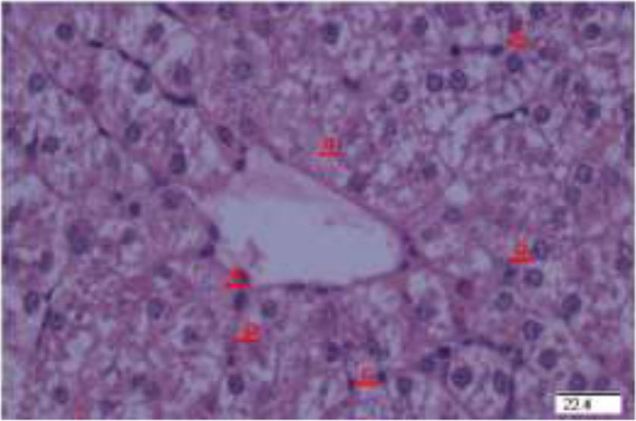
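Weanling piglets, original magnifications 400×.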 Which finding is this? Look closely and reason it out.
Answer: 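The cells around the central vessel do not form orderly radiating plates. The cell cytoplasm looks pale and patchy. The narrow channels between cell plates are hard to make out.
Answer: hepatic cell cords arrangement in disorder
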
